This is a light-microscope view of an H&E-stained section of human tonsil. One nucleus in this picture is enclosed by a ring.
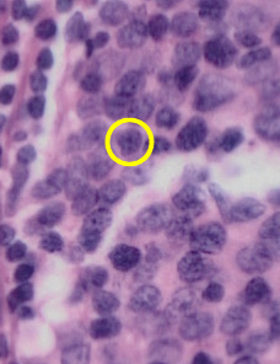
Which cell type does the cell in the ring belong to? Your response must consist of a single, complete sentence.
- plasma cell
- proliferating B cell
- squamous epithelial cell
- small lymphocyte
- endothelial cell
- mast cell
By its classification, the cell in the ring is a proliferating B cell.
